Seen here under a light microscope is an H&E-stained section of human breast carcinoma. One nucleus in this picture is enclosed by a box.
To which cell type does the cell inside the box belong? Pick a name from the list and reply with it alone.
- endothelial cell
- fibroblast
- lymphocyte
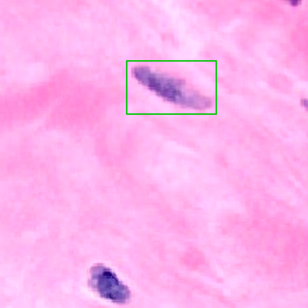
fibroblast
